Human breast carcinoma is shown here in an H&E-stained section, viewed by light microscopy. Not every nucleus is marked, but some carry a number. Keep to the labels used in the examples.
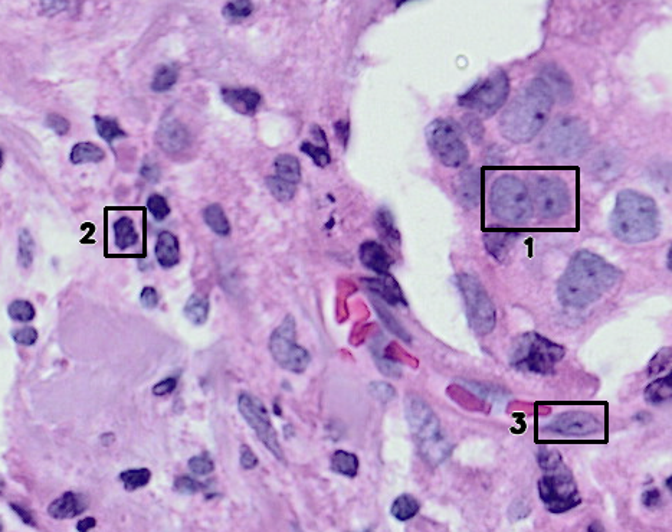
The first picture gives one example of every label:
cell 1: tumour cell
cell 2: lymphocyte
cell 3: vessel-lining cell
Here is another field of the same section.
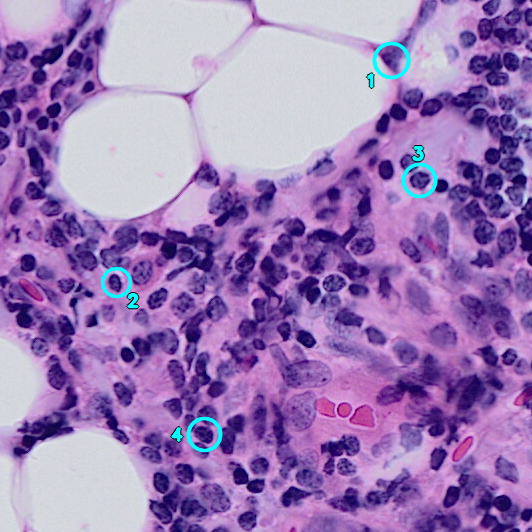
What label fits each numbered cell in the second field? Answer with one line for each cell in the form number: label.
1: vessel-lining cell
2: lymphocyte
3: lymphocyte
4: lymphocyte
